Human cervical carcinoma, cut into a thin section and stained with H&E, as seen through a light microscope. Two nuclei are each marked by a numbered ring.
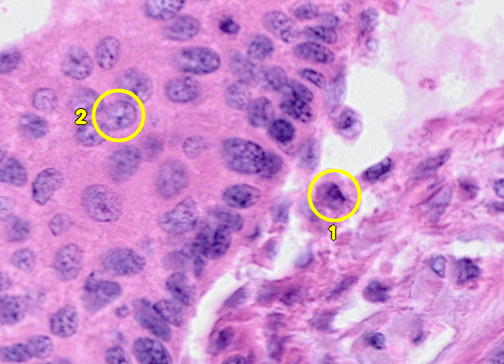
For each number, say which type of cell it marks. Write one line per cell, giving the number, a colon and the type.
1: macrophage or monocyte
2: squamous carcinoma cell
